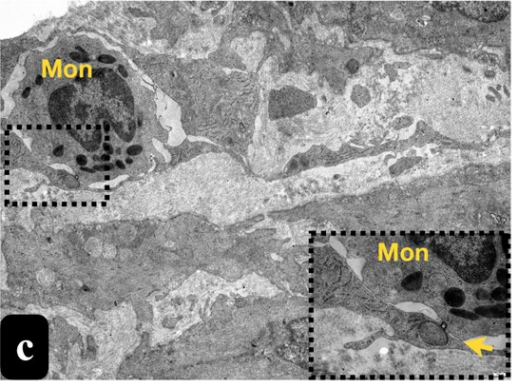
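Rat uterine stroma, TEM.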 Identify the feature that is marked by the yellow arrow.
heterocellular connections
